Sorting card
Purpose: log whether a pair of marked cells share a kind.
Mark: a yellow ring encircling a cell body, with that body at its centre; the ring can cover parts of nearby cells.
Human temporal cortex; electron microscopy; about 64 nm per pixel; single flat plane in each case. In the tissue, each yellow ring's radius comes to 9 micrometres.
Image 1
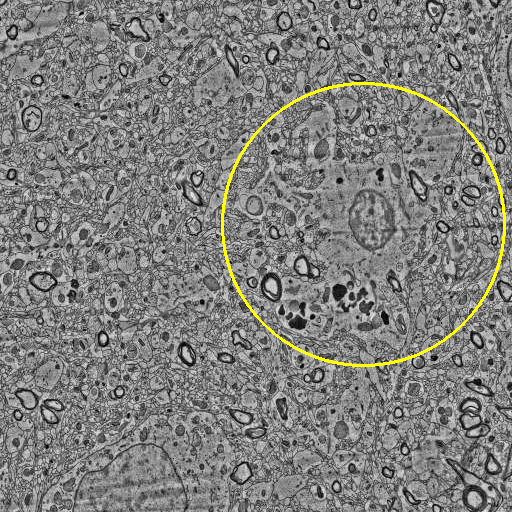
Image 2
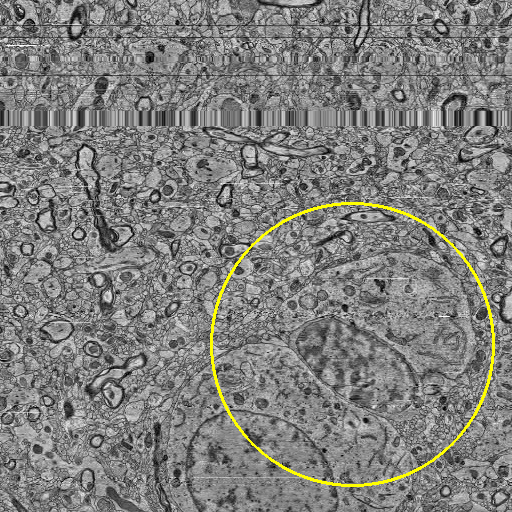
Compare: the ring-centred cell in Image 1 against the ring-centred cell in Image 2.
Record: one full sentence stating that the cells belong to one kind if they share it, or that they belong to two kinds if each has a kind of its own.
Across Images 1 and 2, the two ring-centred cells belong to two kinds.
